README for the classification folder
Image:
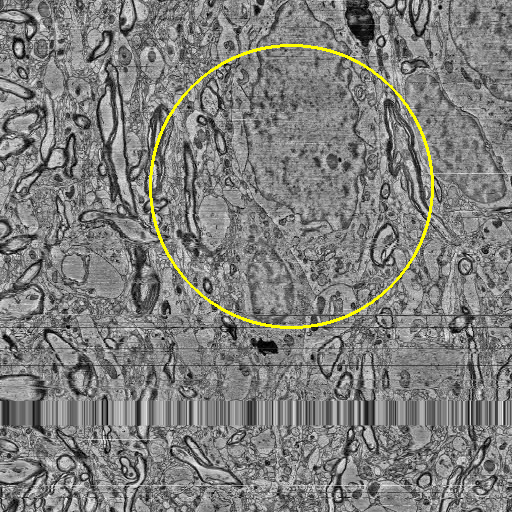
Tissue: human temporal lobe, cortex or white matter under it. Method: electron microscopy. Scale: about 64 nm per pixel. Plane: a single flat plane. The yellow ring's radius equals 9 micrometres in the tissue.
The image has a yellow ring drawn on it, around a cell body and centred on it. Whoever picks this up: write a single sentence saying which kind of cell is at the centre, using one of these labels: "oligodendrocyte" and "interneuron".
This cell body is that of an interneuron.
